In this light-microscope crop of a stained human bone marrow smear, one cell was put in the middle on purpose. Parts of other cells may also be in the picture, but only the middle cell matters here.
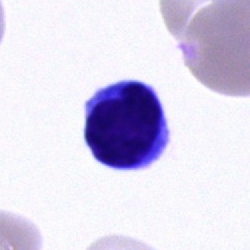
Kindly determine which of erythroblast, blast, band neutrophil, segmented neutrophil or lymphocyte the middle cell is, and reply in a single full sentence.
In the central position of this crop, the cell is a lymphocyte.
